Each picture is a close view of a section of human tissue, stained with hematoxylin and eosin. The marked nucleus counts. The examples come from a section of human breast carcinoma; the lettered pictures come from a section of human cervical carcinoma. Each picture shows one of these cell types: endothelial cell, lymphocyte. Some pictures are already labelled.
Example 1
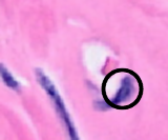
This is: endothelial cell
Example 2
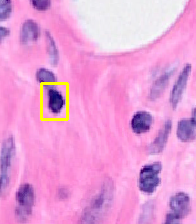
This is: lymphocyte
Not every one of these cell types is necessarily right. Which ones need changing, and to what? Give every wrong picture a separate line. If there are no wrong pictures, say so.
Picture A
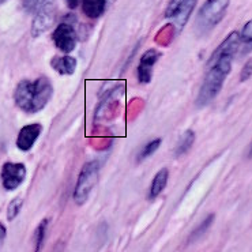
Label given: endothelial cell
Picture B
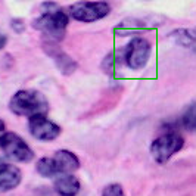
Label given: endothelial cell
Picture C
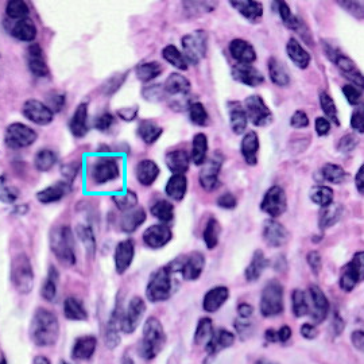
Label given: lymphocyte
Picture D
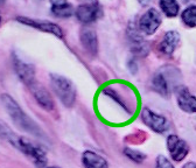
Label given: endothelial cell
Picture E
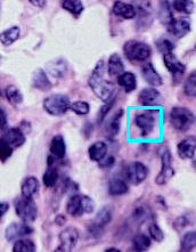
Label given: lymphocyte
B: change endothelial cell to lymphocyte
